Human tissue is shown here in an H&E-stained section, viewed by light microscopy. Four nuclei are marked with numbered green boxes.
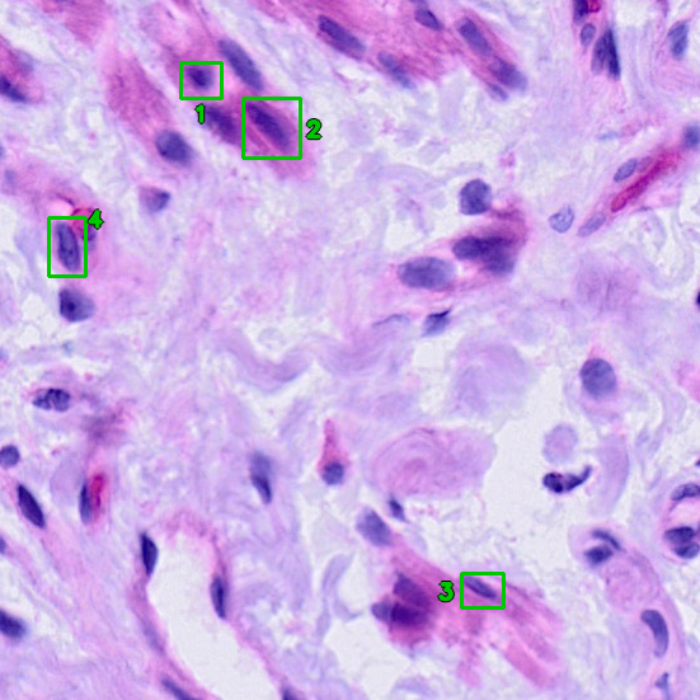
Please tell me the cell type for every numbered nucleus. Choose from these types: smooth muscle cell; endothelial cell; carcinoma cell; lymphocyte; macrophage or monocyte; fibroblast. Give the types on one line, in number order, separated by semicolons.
smooth muscle cell; smooth muscle cell; smooth muscle cell; endothelial cell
